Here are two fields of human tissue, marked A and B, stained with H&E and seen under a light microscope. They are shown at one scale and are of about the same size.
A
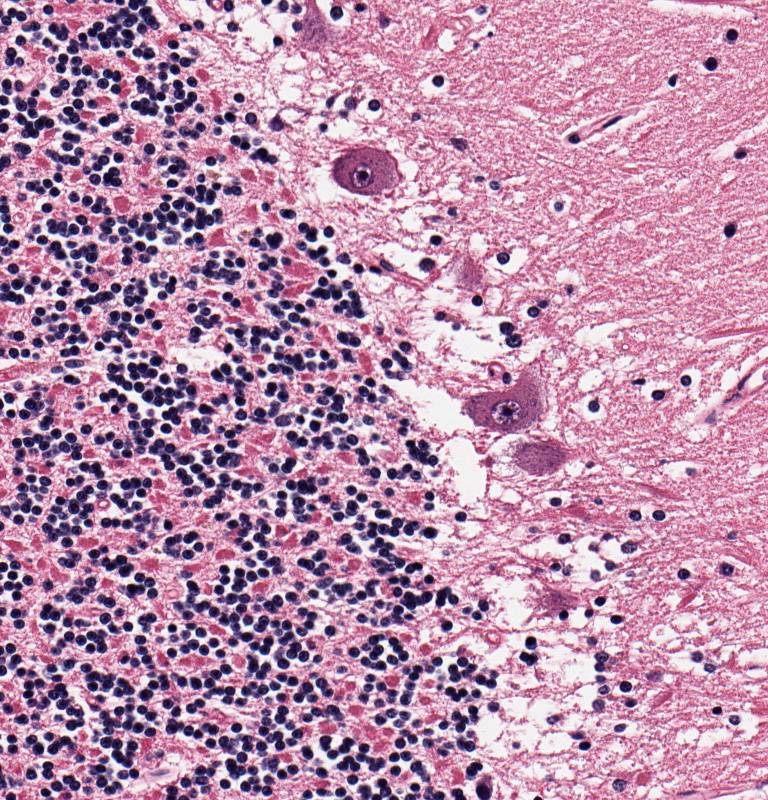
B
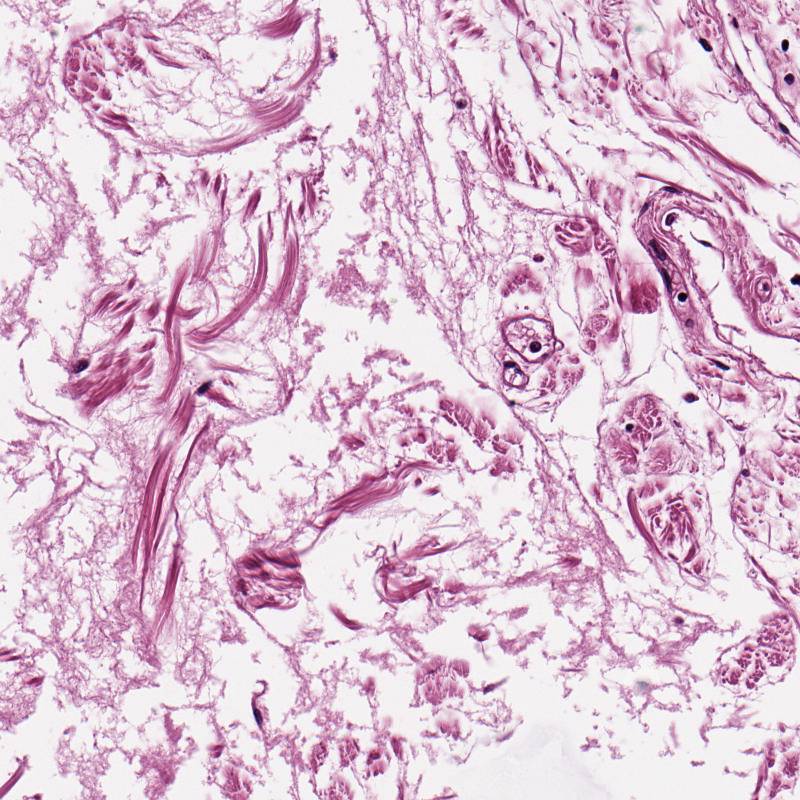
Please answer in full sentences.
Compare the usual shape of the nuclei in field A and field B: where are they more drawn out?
It is field B whose nuclei are the more elongated.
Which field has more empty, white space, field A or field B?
Unstained space takes up more of field B than of field A.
